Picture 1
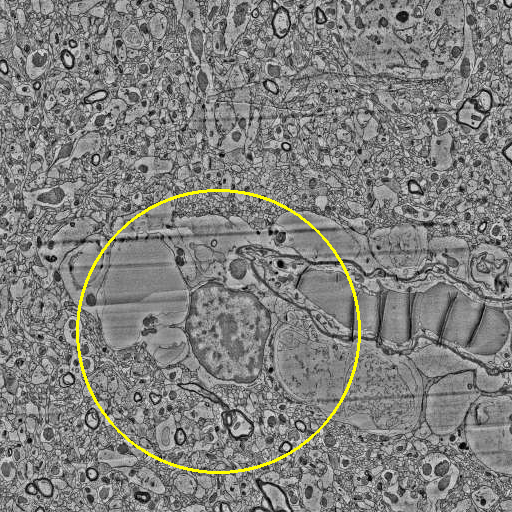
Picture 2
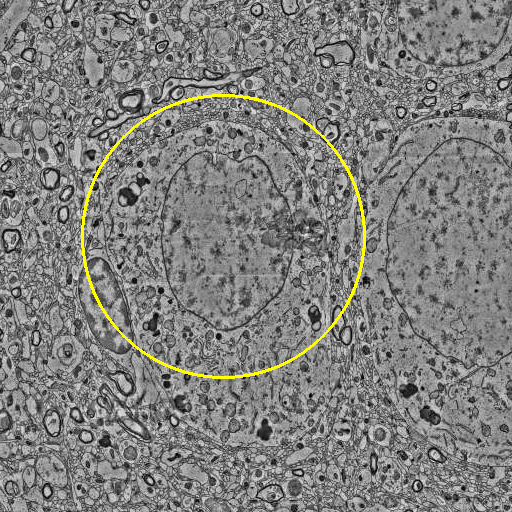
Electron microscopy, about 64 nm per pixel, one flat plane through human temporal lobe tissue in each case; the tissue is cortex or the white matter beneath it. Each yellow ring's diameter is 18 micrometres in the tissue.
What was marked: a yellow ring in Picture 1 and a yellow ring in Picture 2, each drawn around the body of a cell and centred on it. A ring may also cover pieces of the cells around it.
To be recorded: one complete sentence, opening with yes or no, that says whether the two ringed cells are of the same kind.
No, the two ringed cells are of two kinds.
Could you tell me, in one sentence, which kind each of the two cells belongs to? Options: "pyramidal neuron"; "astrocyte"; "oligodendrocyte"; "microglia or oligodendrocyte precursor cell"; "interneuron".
At the centre of the first ring sits a microglial cell or oligodendrocyte precursor cell, and at the centre of the second sits a pyramidal neuron.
